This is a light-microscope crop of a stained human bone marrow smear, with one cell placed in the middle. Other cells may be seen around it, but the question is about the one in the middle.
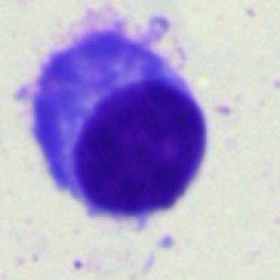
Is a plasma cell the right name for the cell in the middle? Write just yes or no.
yes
